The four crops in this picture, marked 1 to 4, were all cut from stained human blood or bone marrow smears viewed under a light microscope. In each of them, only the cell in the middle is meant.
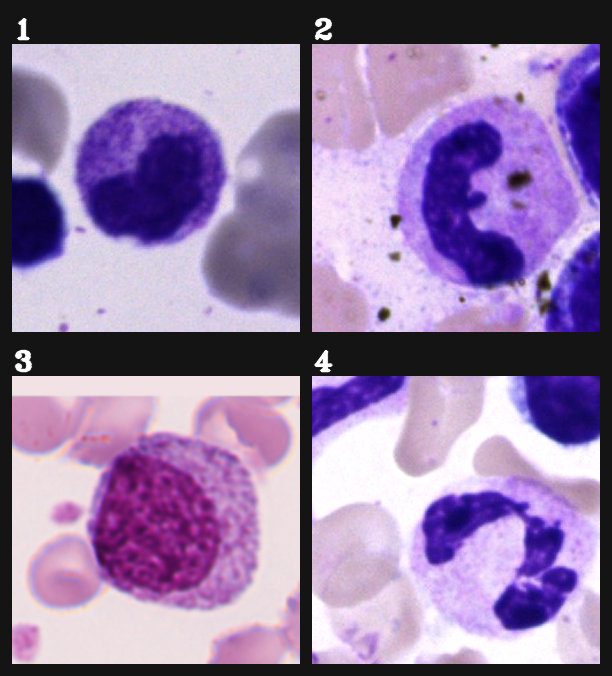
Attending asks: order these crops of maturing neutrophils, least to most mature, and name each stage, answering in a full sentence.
Maturity rises in the sequence crop 3 (a myelocyte), crop 1 (a metamyelocyte), crop 2 (a band neutrophil) and crop 4 (a segmented neutrophil).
